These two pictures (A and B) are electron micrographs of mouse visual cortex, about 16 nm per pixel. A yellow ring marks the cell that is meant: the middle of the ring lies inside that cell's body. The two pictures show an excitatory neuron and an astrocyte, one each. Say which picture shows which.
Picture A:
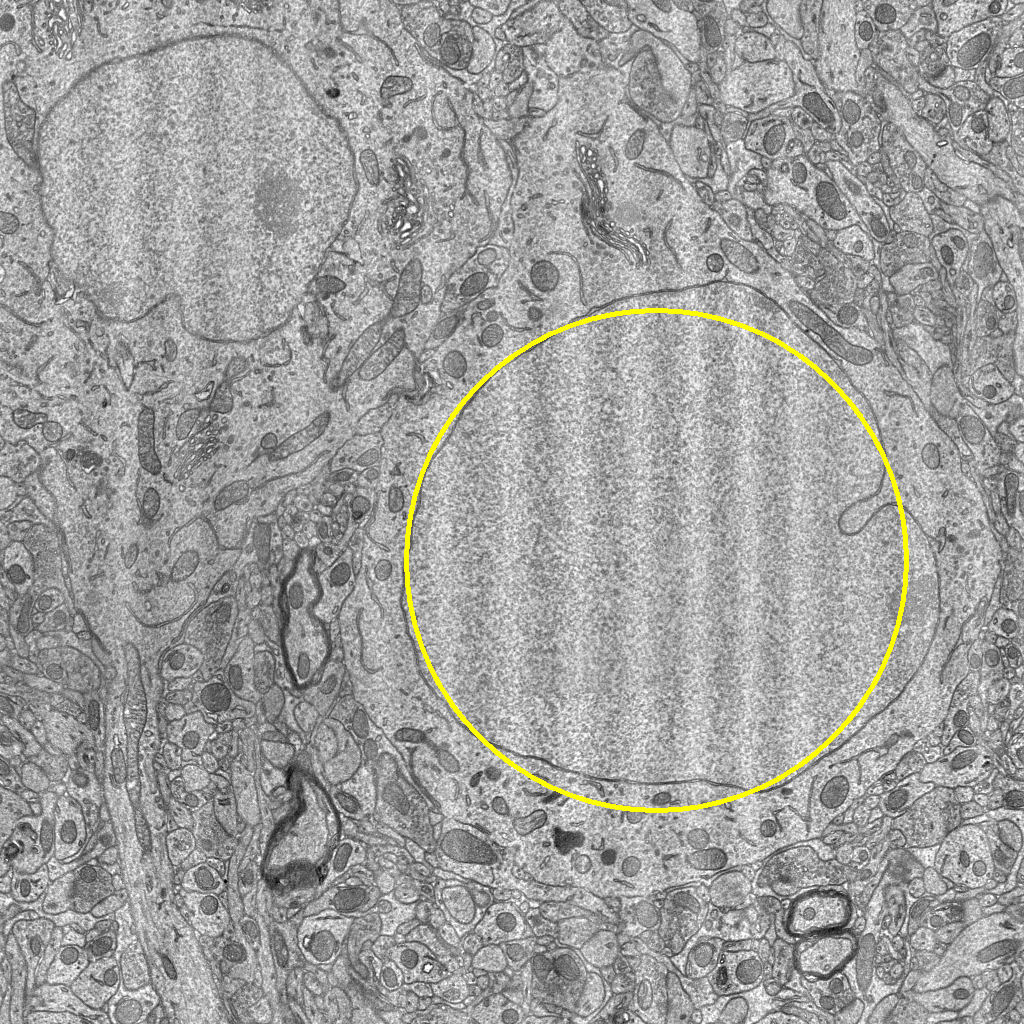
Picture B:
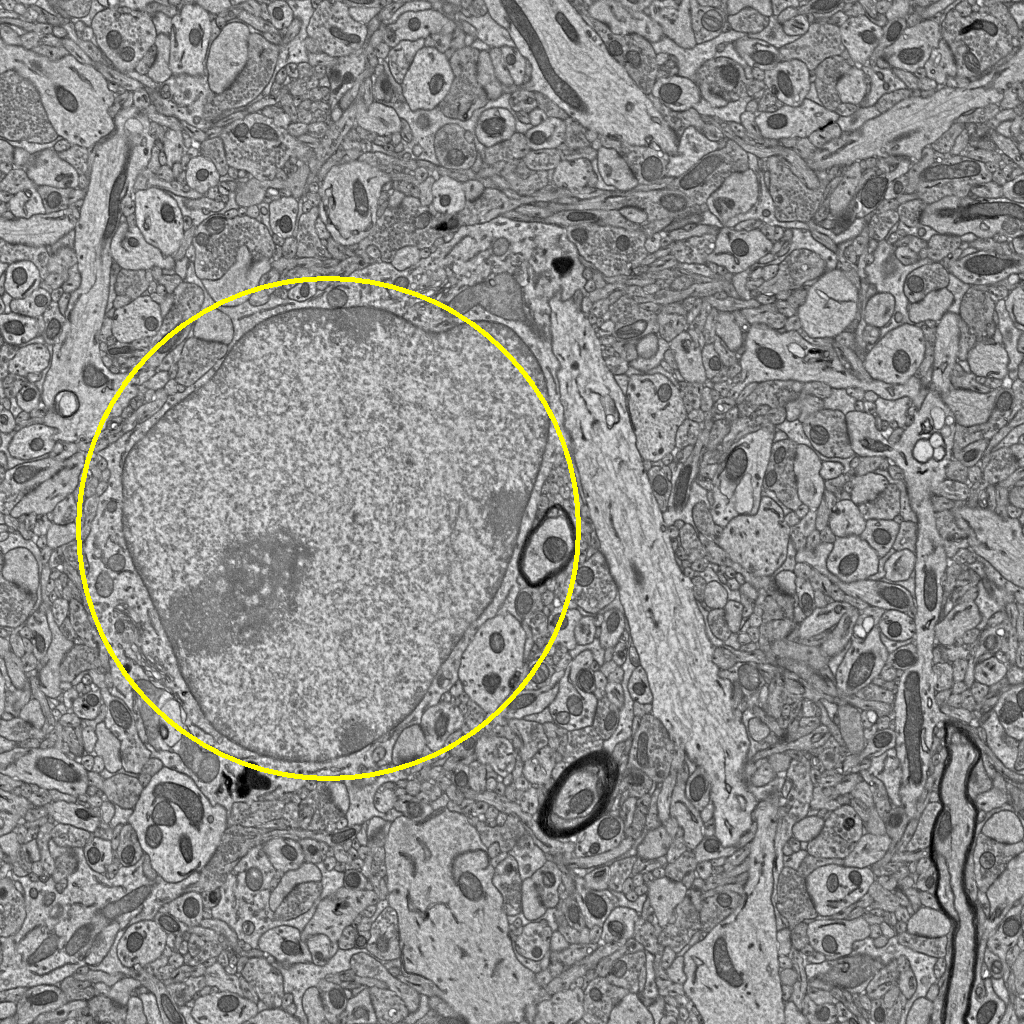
Picture A shows an excitatory neuron and picture B shows an astrocyte.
